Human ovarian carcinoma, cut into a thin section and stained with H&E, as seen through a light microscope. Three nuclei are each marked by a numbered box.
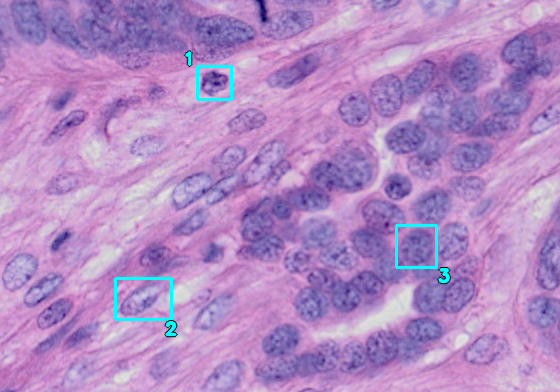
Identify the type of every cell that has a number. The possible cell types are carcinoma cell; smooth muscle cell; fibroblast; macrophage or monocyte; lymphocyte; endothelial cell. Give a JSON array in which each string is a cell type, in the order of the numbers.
["lymphocyte", "fibroblast", "carcinoma cell"]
